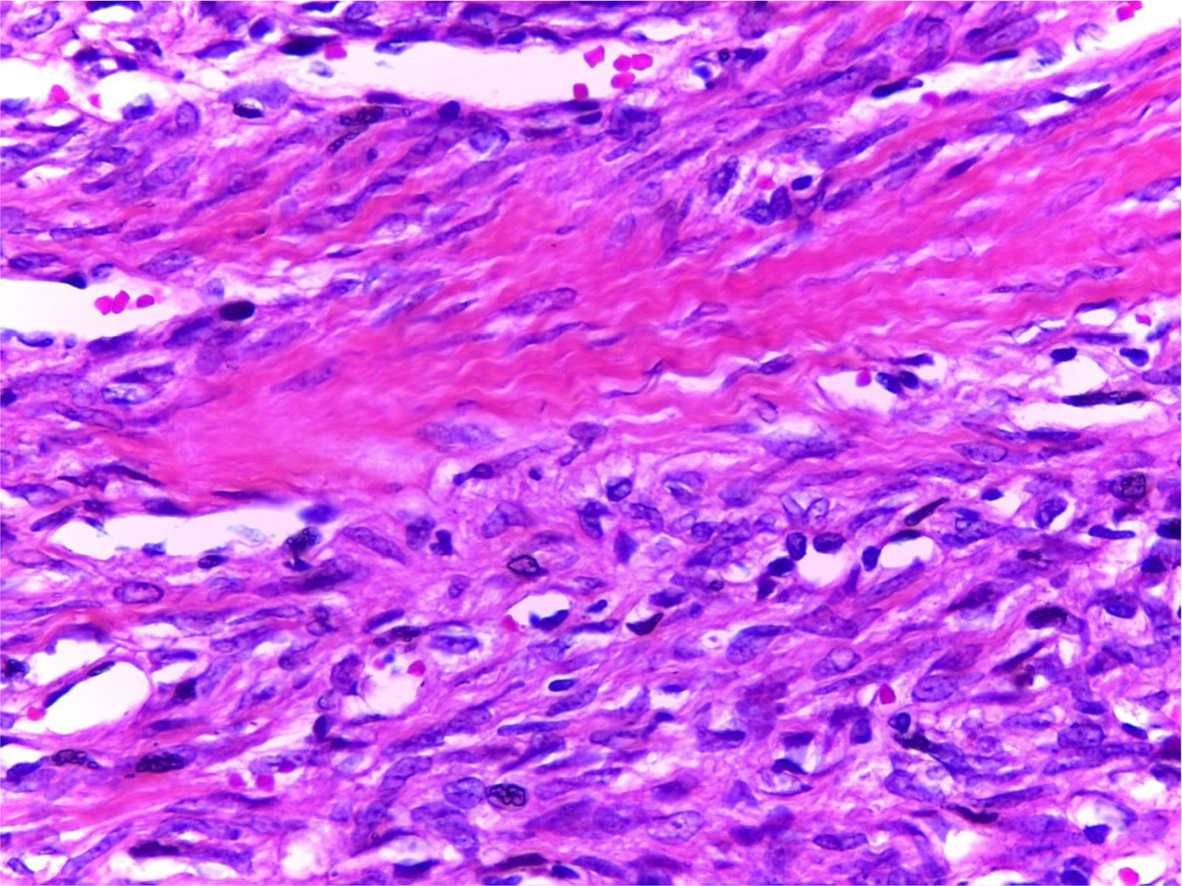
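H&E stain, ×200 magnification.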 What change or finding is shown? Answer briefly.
Spindle cell proliferation.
